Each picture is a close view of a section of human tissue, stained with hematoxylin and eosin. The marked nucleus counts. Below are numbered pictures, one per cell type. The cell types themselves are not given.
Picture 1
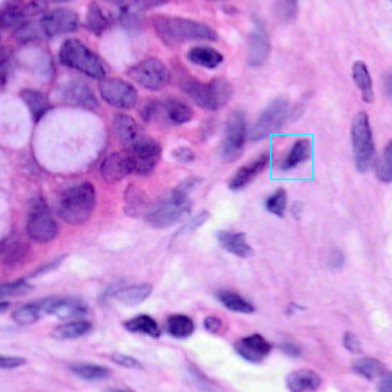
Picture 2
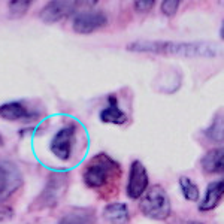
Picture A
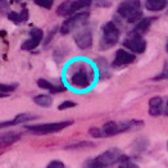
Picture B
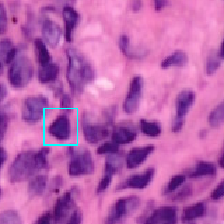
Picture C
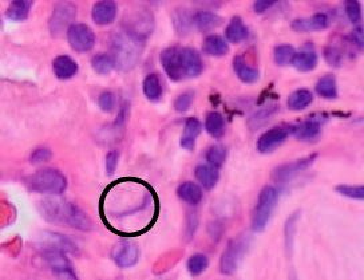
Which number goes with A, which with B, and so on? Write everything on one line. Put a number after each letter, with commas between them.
A 2, B 2, C 1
